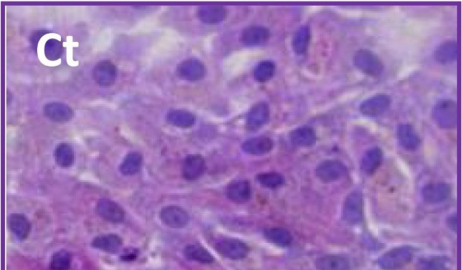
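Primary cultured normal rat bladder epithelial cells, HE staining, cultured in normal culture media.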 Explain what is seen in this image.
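The cells are polygonal to elongated and lie closely side by side, each with a single oval, blue-purple nucleus. Their cytoplasm is pink, and the narrow gaps between cells are pale.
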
